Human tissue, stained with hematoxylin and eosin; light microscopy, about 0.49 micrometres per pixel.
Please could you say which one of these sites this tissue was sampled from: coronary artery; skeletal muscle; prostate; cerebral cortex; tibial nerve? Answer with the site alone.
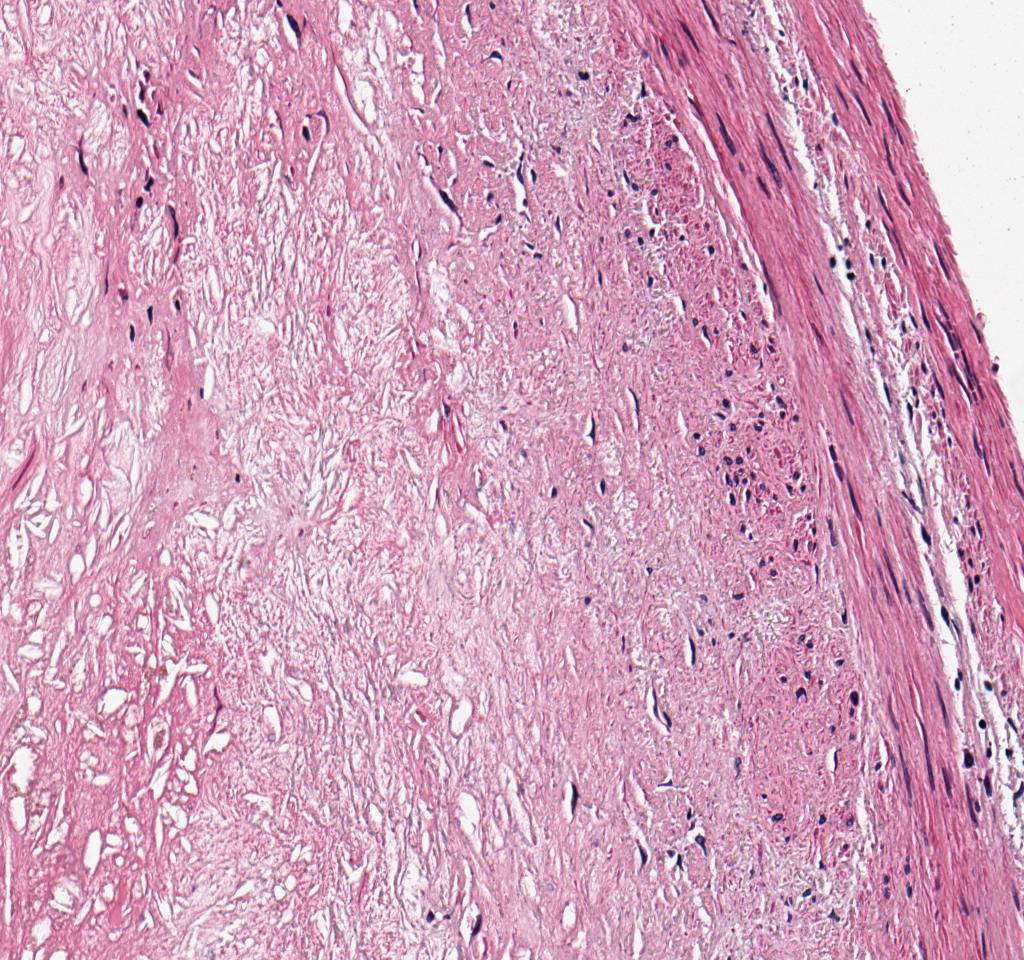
coronary artery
